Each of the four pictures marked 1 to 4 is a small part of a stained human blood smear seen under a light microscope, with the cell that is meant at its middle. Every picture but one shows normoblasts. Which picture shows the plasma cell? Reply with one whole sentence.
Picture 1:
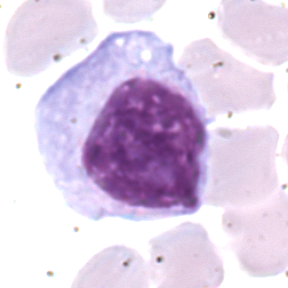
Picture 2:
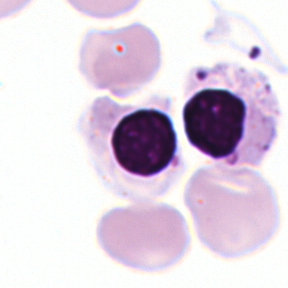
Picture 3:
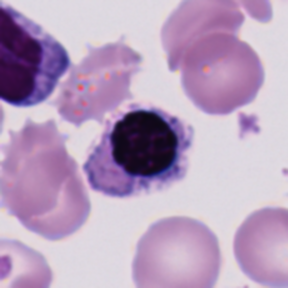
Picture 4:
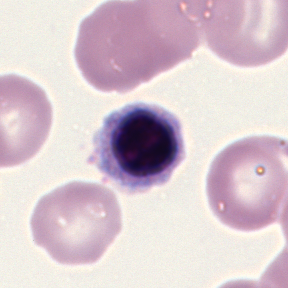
The plasma cell is the one in picture 1.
